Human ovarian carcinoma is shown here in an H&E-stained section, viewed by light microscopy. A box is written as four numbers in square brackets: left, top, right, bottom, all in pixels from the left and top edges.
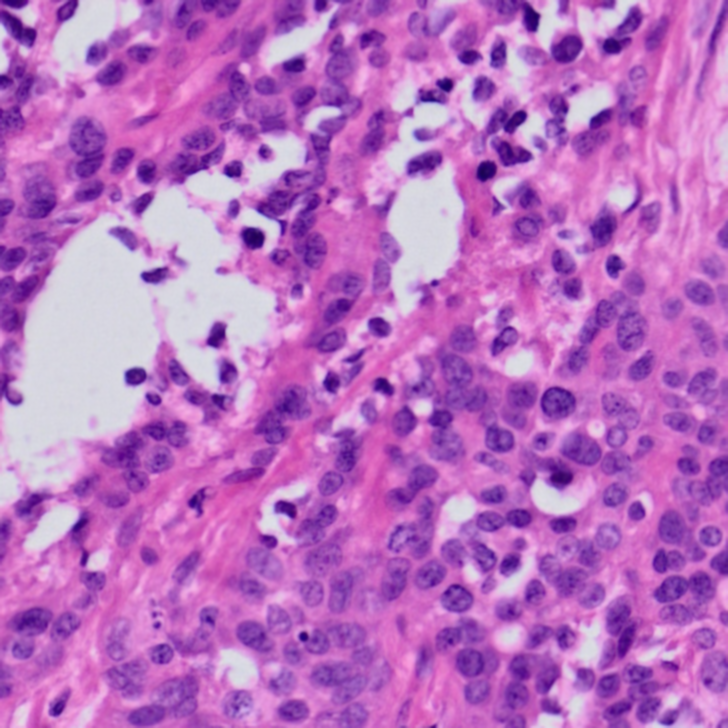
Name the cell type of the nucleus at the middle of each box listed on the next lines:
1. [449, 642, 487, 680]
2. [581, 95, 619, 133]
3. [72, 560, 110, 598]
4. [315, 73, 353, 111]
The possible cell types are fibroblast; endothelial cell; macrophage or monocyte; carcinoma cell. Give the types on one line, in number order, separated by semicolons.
carcinoma cell; carcinoma cell; macrophage or monocyte; carcinoma cell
